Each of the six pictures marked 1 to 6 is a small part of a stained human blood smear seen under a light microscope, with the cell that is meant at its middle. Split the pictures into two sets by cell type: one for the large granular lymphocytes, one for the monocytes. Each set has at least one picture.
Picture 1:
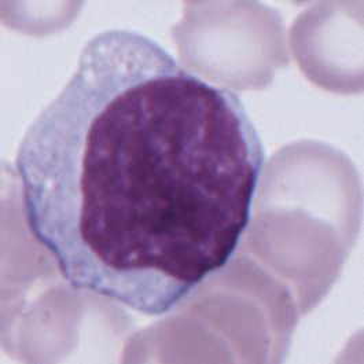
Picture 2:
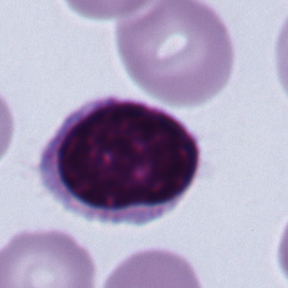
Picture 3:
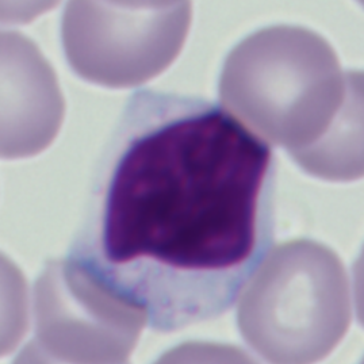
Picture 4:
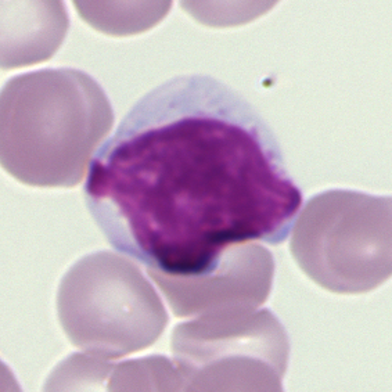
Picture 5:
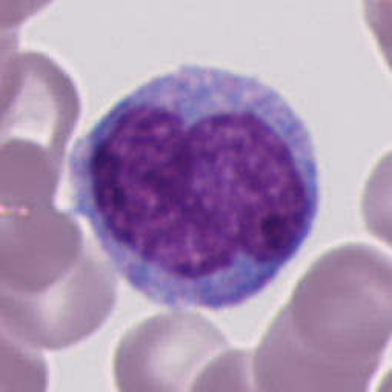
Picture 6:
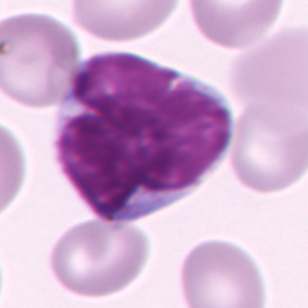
1: monocyte
2: large granular lymphocyte
3: large granular lymphocyte
4: large granular lymphocyte
5: monocyte
6: large granular lymphocyte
